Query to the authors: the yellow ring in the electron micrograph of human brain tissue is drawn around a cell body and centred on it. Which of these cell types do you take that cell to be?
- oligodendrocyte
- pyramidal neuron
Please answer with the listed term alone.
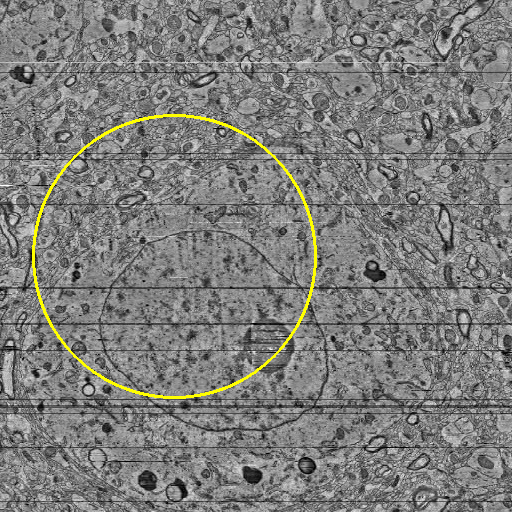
pyramidal neuron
